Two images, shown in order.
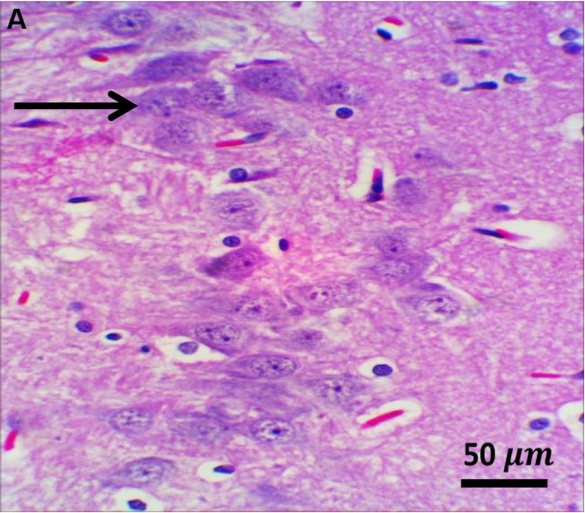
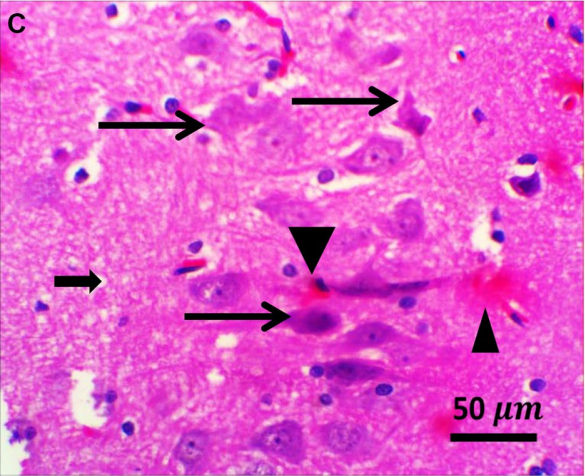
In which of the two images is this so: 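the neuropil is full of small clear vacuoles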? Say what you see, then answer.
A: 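Second image: the pink neuropil is riddled with small clear holes. First image: the neuropil is fine-textured without obvious holes. That points to this answer: the second image.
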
